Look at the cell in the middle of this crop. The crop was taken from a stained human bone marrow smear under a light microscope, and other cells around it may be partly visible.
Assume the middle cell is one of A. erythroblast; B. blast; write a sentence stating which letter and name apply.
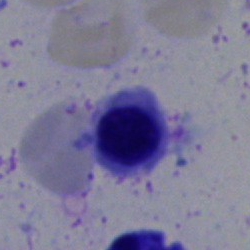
Option A gives the correct identity of the central cell, namely an erythroblast.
